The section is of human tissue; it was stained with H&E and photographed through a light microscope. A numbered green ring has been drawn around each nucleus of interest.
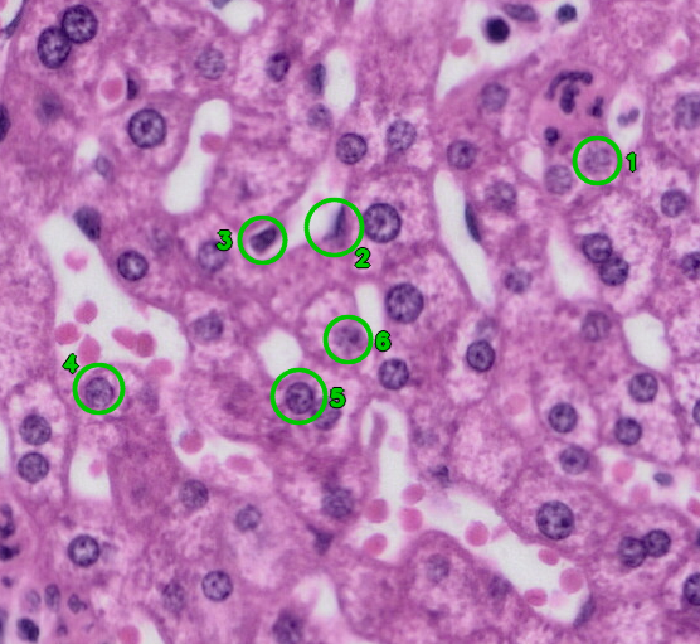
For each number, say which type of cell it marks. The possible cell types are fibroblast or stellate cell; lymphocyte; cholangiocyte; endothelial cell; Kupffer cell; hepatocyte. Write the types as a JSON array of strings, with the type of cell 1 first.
["hepatocyte", "endothelial cell", "Kupffer cell", "hepatocyte", "hepatocyte", "hepatocyte"]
